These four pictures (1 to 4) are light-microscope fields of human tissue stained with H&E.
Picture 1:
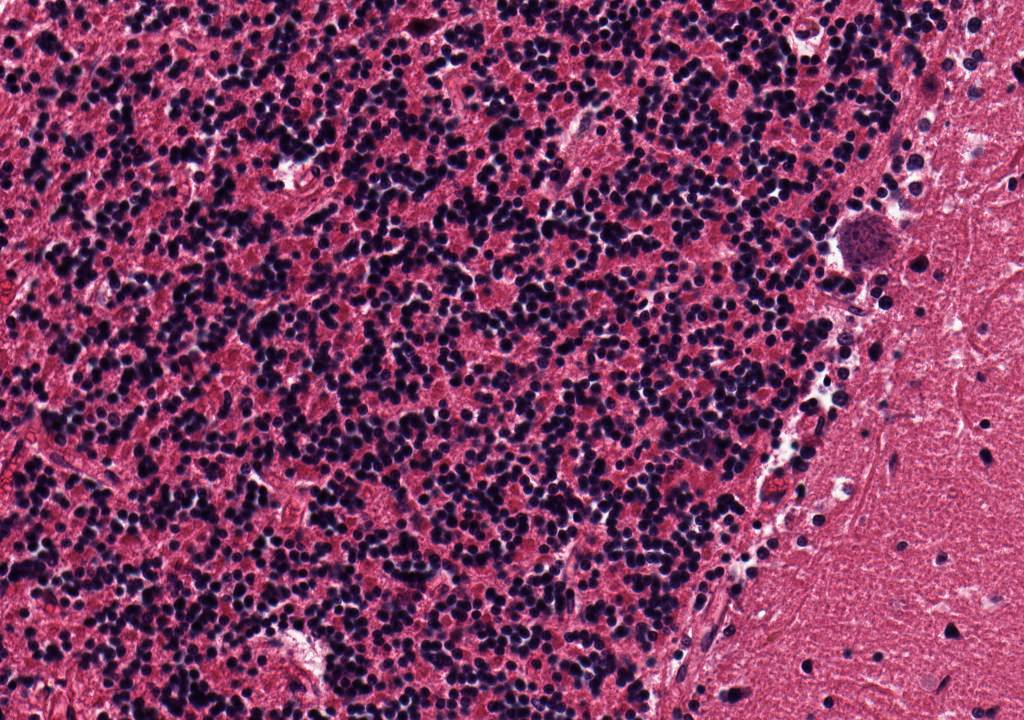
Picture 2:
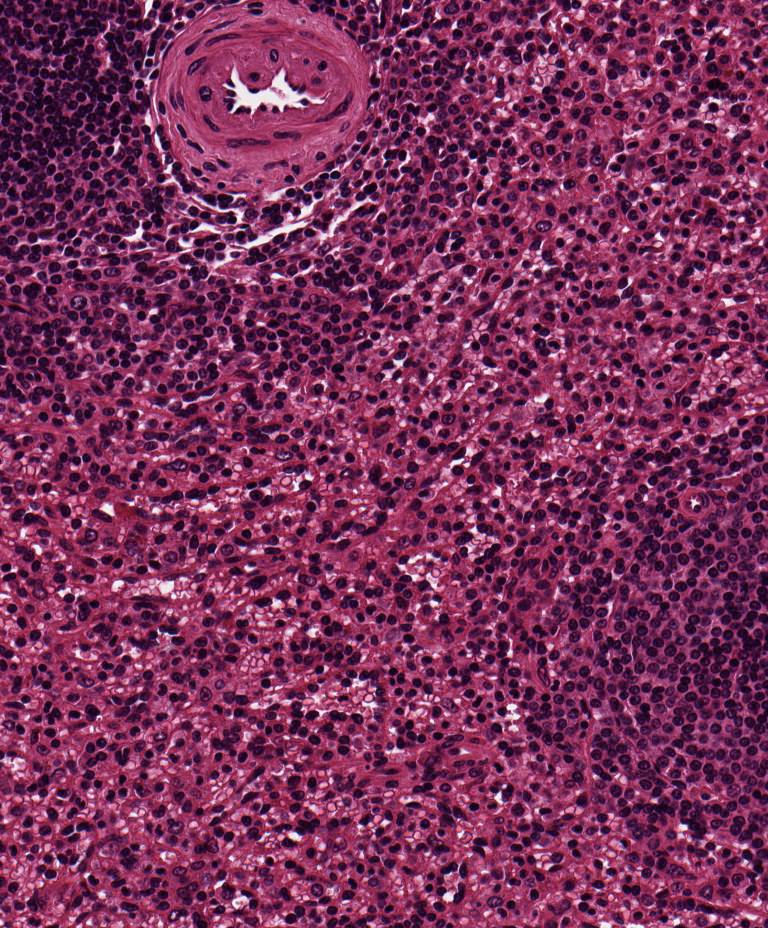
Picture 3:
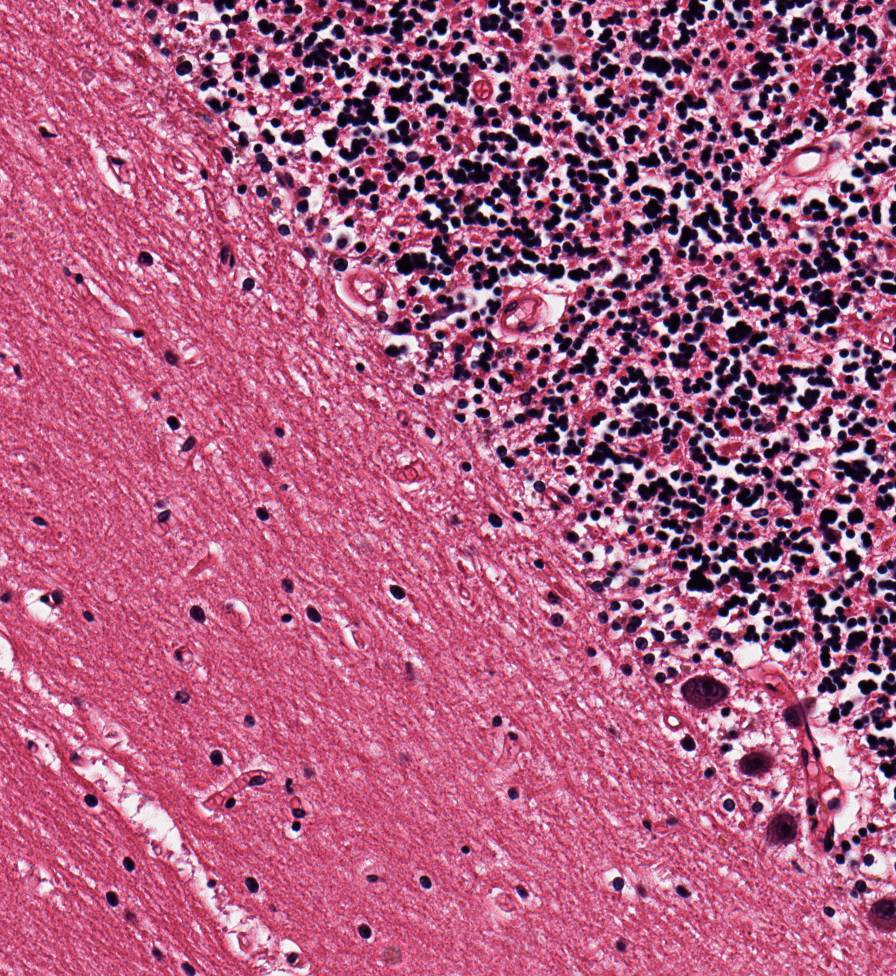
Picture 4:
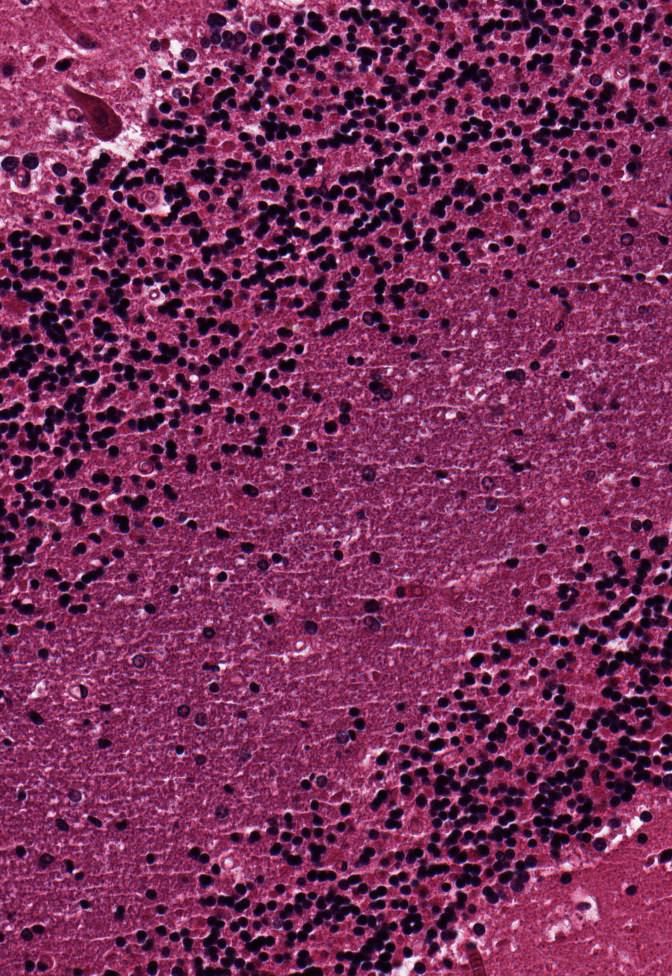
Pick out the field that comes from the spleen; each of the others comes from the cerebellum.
2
